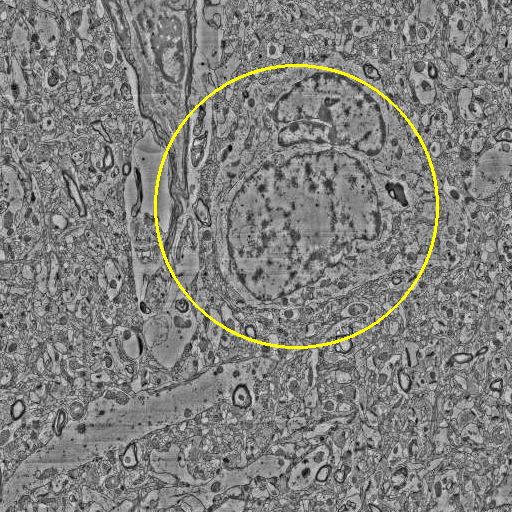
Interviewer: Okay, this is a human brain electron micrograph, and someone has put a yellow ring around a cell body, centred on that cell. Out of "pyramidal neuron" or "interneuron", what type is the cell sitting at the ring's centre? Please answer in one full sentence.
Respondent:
The cell at the centre of the yellow ring in this picture is an interneuron.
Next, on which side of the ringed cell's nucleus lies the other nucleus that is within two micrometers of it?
The second nucleus lies above it.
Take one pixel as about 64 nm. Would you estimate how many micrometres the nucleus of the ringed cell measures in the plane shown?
Roughly 11 by 9 micrometres in this plane, for the nucleus of the ringed cell.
